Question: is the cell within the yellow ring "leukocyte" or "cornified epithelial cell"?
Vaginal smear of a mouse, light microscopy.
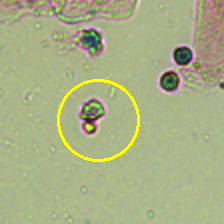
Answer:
leukocyte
